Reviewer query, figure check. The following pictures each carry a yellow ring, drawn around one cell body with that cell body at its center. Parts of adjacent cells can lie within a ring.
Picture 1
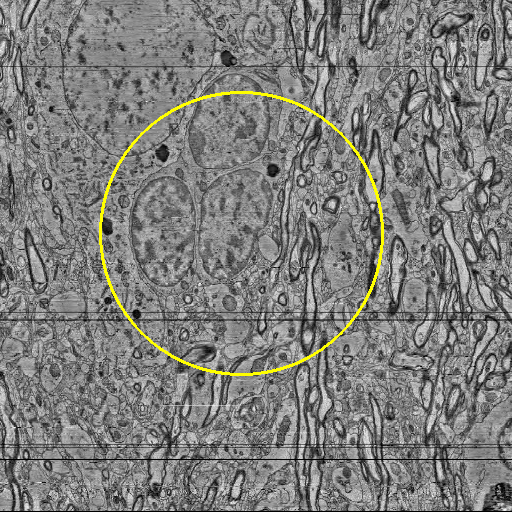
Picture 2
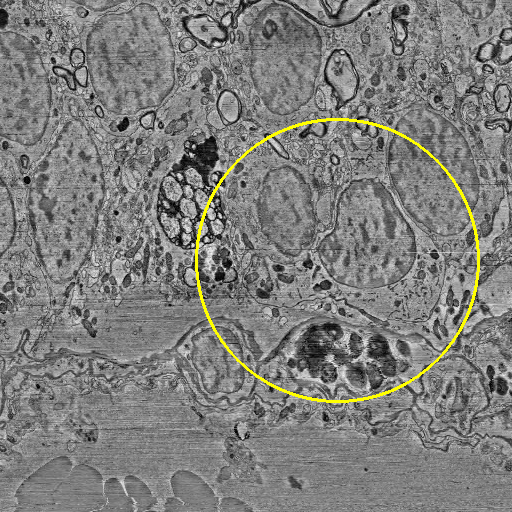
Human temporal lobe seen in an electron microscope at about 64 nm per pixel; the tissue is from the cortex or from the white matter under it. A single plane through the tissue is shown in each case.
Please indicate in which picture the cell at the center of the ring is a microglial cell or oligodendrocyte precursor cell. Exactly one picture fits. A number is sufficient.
2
